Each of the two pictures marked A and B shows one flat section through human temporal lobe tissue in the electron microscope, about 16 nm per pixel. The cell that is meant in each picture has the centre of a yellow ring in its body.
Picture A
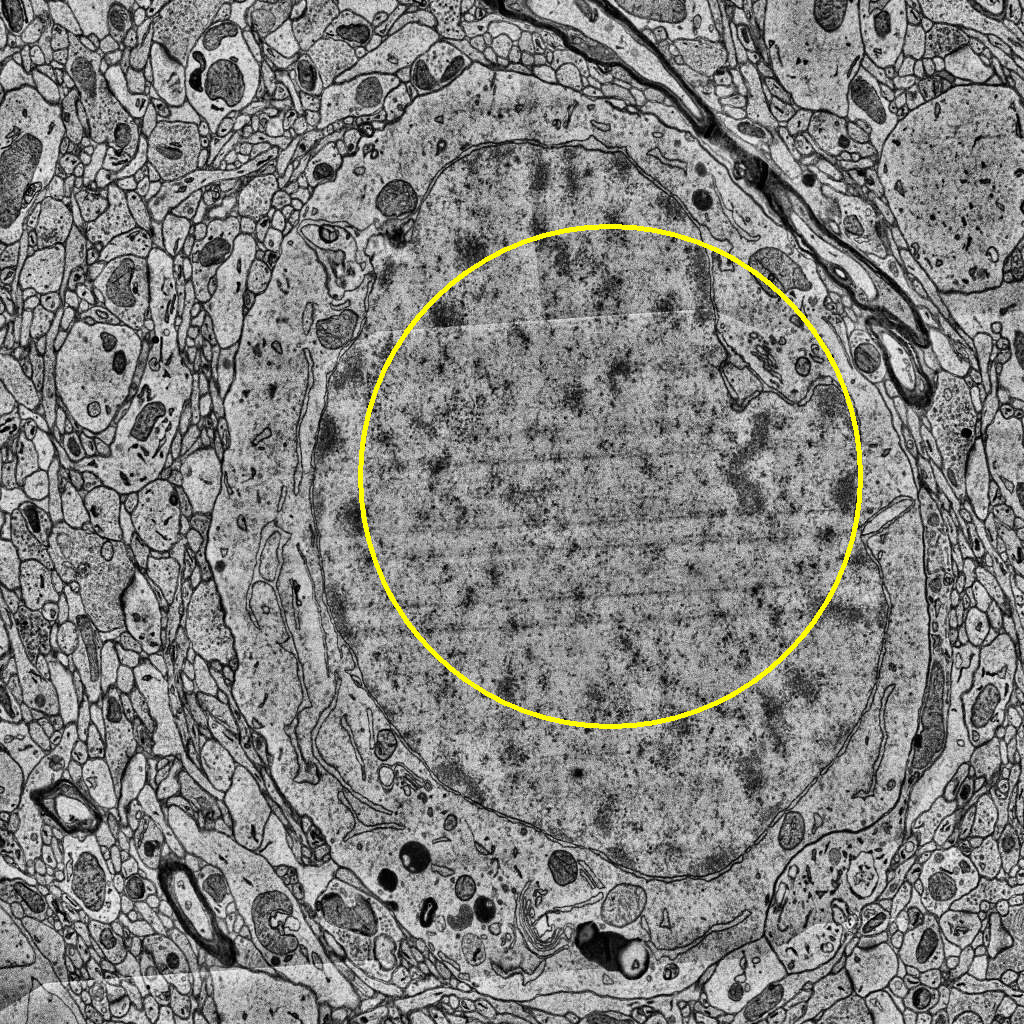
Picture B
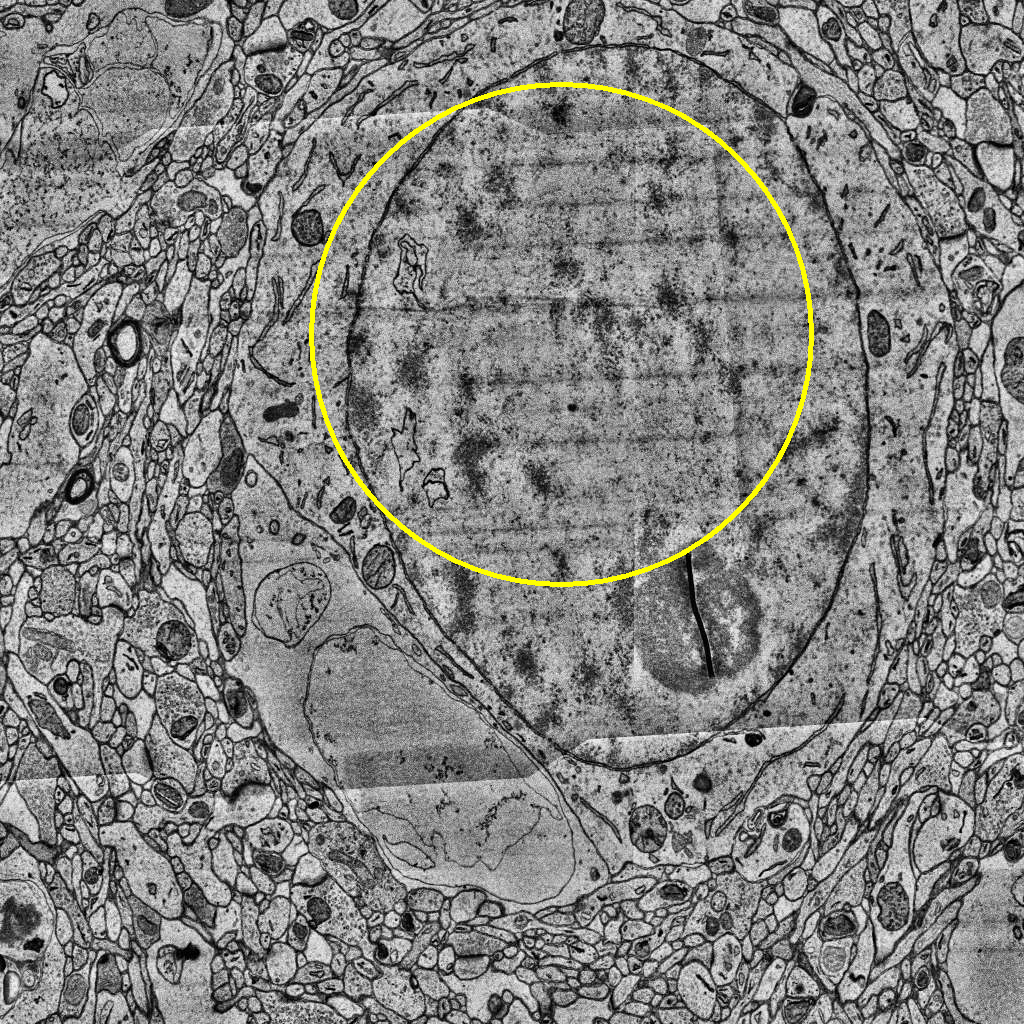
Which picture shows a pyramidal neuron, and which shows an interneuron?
Picture B shows a pyramidal neuron, while picture A shows an interneuron.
